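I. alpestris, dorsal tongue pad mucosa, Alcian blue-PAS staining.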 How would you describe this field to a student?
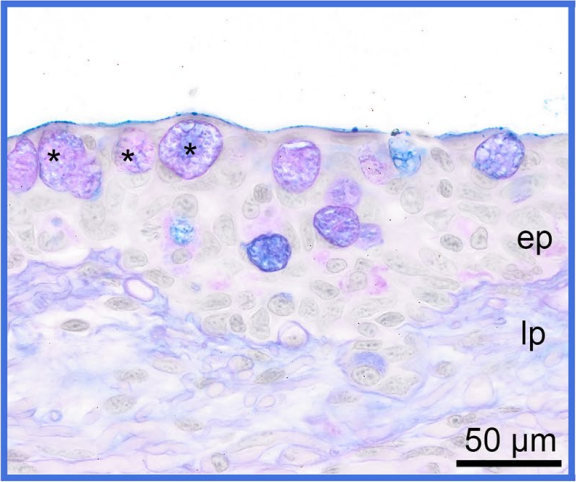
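The goblet cells are round, filled with foamy purple content, and some stain more blue than others. Several sit at the surface, while others lie deeper among the epithelial cells. The surrounding epithelial cells are pale and polygonal with grey oval nuclei, and the surface is smooth, edged with a thin blue line. Beneath, the lamina propria is loose, pale bluish connective tissue.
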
